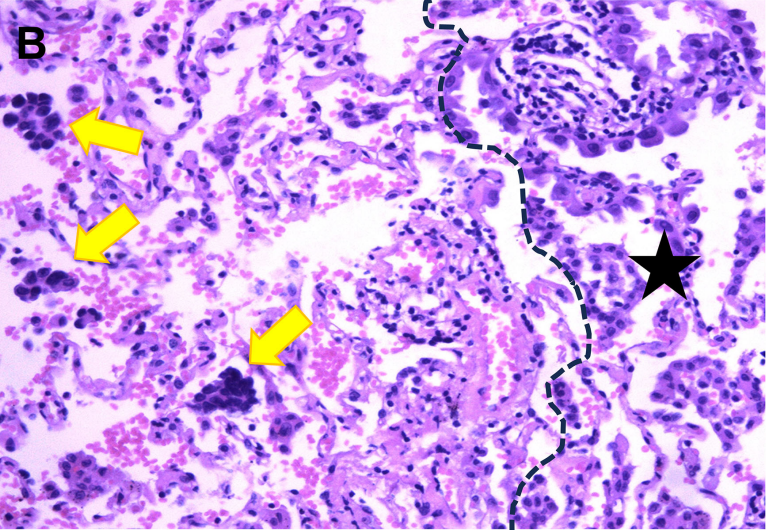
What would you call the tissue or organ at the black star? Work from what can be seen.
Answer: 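The starred area is packed with crowded cells with dark nuclei. Air spaces there are small and lined or filled by cells.
Tumor.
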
